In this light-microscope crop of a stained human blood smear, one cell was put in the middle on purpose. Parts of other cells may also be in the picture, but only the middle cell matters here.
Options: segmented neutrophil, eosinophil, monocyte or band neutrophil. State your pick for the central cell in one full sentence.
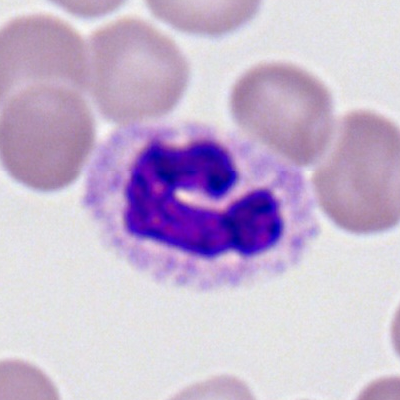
As for the central cell, it is a segmented neutrophil.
